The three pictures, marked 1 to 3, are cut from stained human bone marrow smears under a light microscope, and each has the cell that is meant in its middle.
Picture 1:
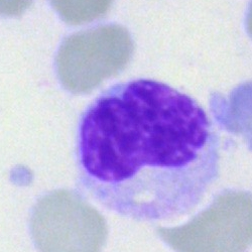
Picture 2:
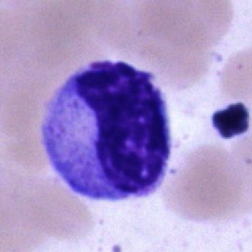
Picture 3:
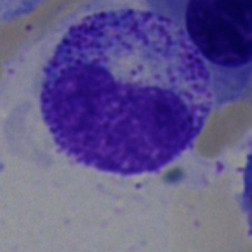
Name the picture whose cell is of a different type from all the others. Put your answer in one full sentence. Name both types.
All pictures except 1 show metamyelocytes; picture 1 shows a band neutrophil.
